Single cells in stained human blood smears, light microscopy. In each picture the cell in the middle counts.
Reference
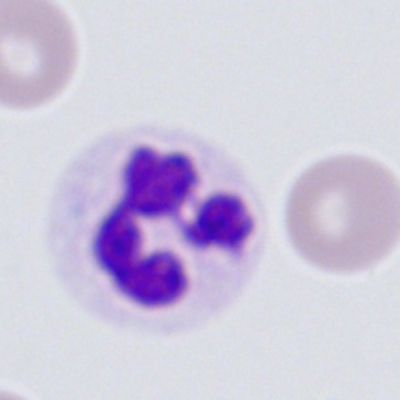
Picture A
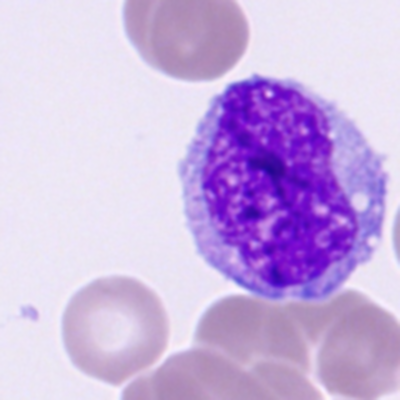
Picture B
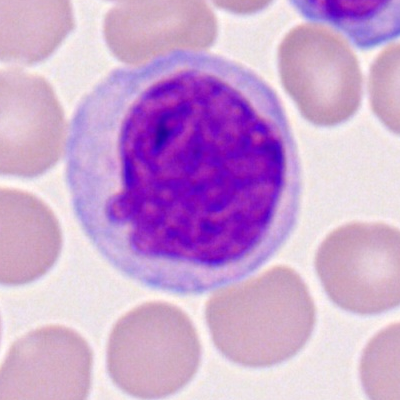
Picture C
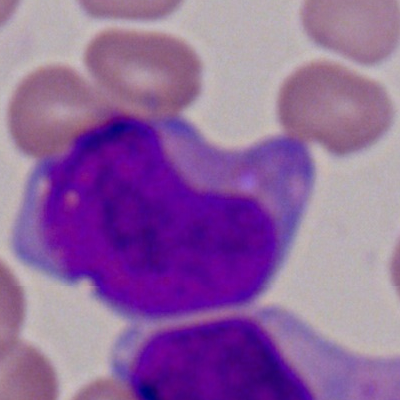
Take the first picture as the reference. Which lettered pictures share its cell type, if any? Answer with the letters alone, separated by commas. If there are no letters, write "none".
none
